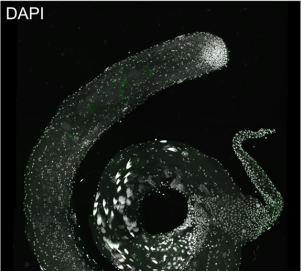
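This is a whole coiled testis, a long tube wound into a spiral, with its nuclei shown in grey. At the free outer end the tube ends in a bright tip crowded with small, densely packed nuclei. Along the length of the tube small nuclei are scattered over its wall, and toward the inner coils bundles of slender, bright, elongated nuclei lie grouped together. Only a faint diffuse background shows in the green channel.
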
